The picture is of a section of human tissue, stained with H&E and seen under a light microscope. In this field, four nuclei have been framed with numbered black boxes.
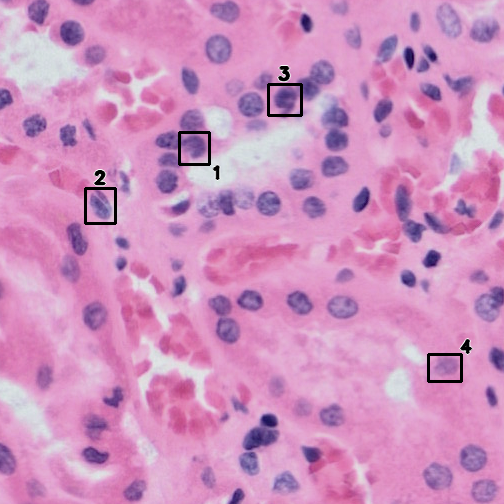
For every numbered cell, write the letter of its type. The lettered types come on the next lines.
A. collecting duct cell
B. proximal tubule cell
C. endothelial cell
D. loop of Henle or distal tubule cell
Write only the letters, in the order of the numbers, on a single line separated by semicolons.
A; C; A; B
